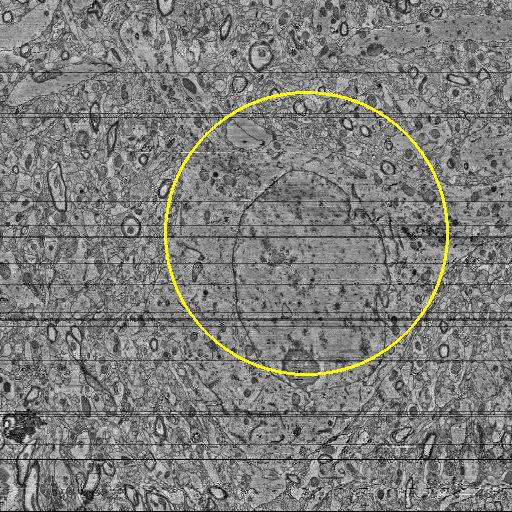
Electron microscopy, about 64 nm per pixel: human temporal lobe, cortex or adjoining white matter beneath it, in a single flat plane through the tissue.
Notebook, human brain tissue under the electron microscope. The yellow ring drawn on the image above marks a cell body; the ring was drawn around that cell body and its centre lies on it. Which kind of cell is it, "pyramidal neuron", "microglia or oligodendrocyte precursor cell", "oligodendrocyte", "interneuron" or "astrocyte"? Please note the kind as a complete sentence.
The marked cell body is that of a pyramidal neuron.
